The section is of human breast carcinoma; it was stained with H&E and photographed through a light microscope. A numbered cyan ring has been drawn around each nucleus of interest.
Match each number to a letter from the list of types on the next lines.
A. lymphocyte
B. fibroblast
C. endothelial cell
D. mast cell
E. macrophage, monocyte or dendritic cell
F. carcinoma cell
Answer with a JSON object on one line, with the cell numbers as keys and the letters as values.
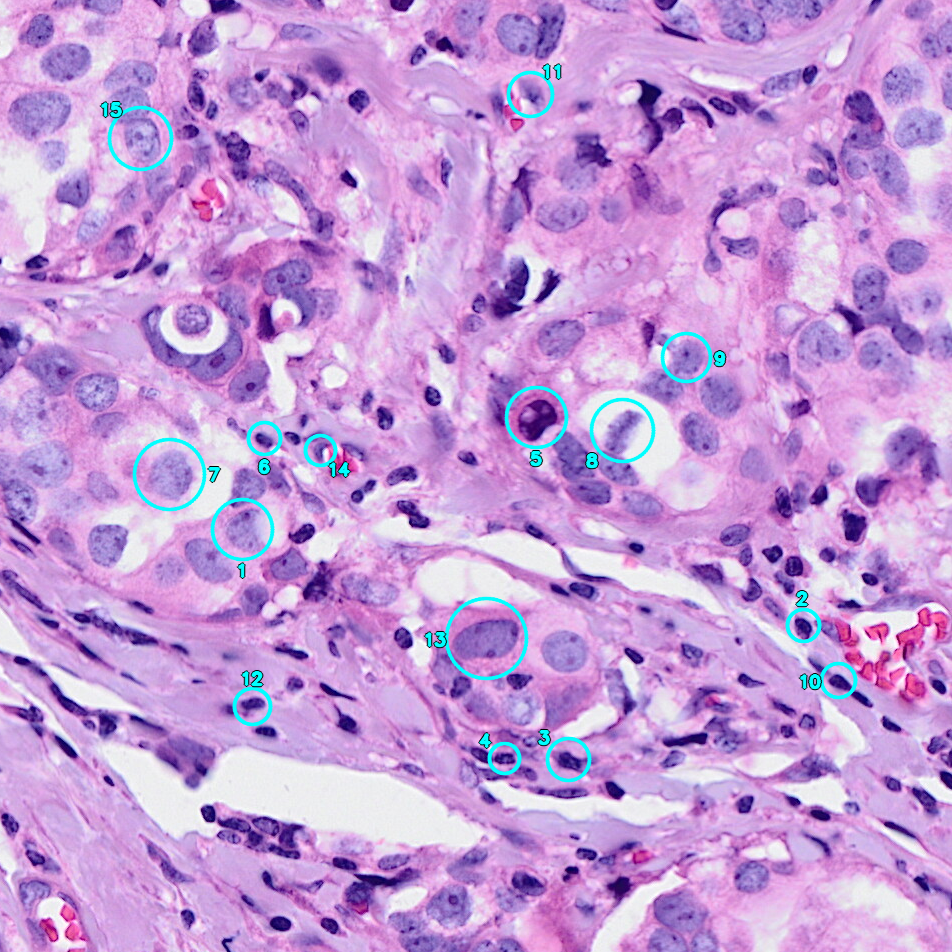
{"1": "F", "2": "A", "3": "A", "4": "A", "5": "F", "6": "A", "7": "F", "8": "F", "9": "F", "10": "A", "11": "C", "12": "A", "13": "F", "14": "C", "15": "F"}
